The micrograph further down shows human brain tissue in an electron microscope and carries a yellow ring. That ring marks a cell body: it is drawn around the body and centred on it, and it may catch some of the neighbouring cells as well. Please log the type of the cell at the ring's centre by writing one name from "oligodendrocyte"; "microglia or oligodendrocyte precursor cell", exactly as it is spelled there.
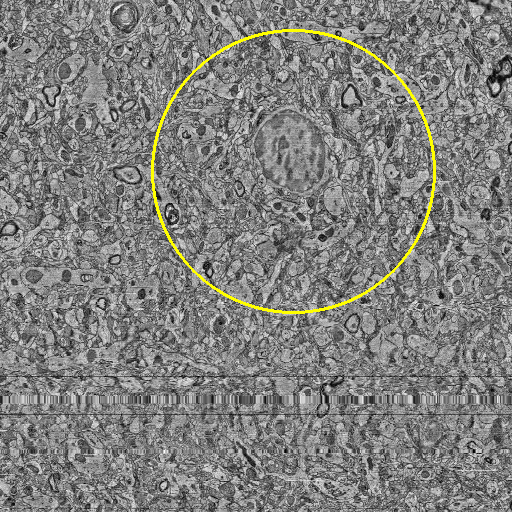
oligodendrocyte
